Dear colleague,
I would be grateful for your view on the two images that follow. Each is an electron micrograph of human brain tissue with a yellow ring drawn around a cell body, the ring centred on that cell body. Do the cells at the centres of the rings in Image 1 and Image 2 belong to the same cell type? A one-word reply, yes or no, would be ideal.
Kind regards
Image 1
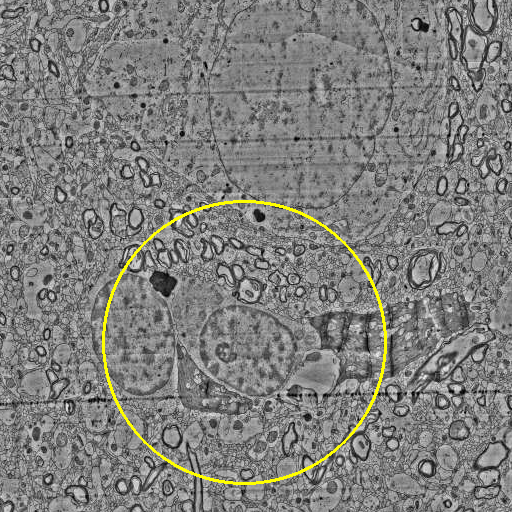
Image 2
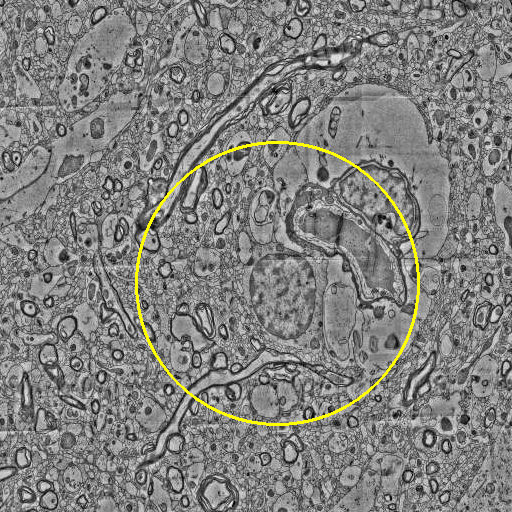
yes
